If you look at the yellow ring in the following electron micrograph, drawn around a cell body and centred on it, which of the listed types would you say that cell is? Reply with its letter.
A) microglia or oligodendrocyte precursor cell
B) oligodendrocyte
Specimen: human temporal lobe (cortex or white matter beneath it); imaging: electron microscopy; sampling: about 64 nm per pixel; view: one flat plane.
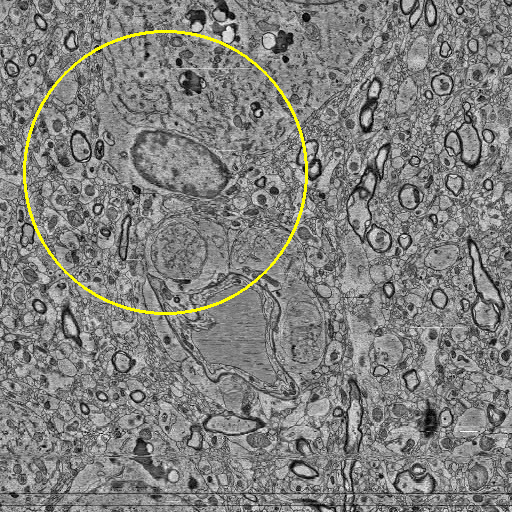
A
